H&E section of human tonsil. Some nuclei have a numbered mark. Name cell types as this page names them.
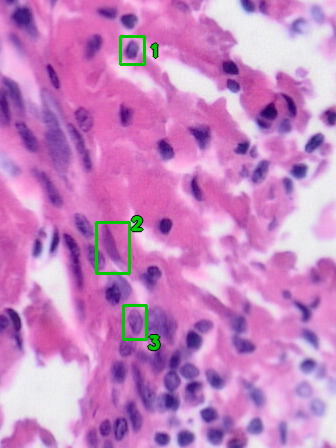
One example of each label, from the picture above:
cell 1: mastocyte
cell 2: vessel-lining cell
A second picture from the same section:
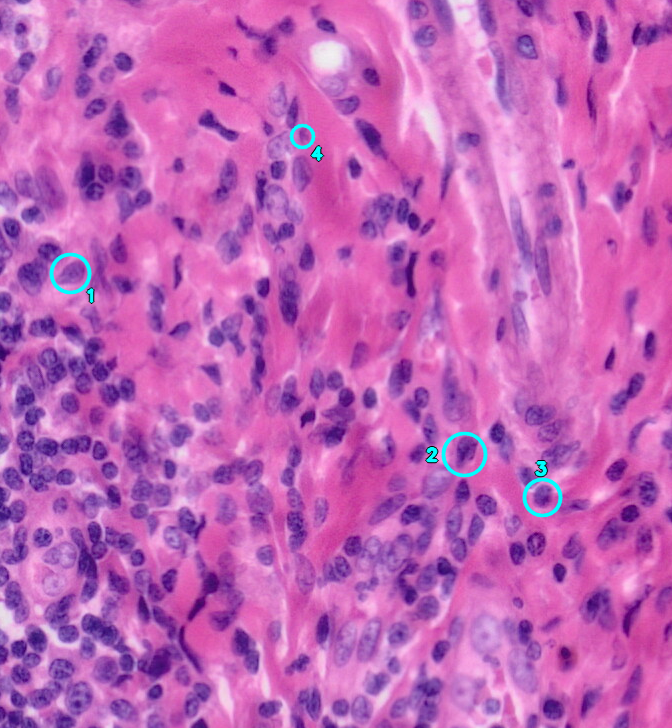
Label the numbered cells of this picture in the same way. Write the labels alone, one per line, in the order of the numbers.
vessel-lining cell
vessel-lining cell
mastocyte
vessel-lining cell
